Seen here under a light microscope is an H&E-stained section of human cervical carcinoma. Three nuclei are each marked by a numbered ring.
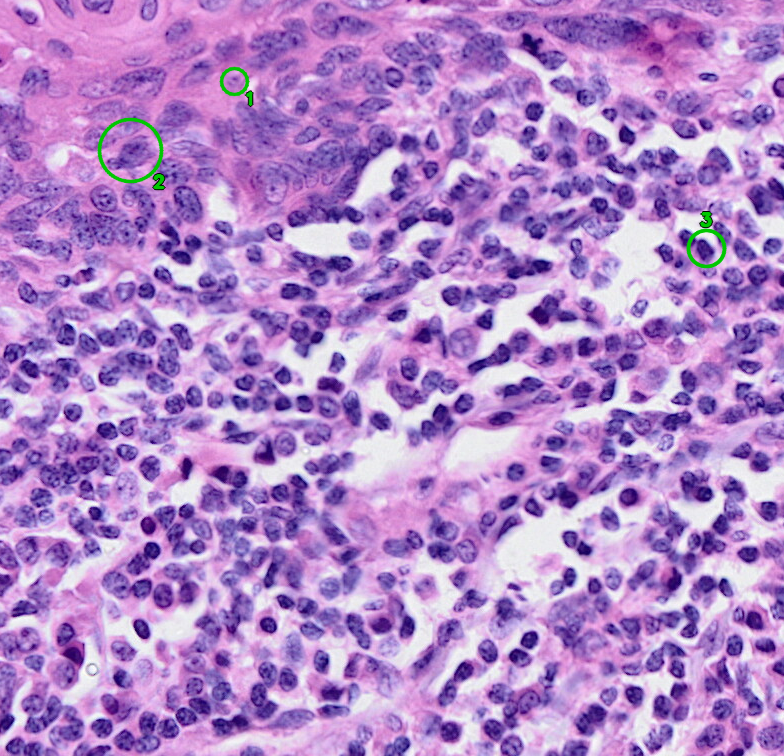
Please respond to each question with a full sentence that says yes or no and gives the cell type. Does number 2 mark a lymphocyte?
No, as for cell 2, it is a squamous carcinoma cell and not a lymphocyte.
